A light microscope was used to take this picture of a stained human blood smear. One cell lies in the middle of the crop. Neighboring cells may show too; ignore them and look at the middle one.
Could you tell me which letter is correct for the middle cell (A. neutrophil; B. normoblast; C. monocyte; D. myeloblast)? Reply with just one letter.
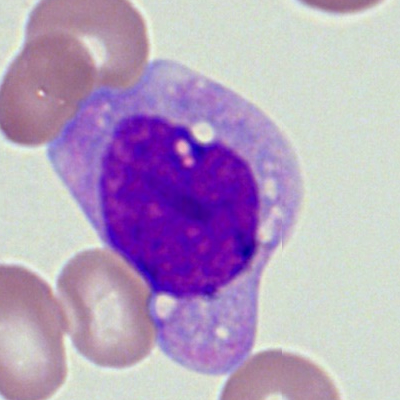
C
